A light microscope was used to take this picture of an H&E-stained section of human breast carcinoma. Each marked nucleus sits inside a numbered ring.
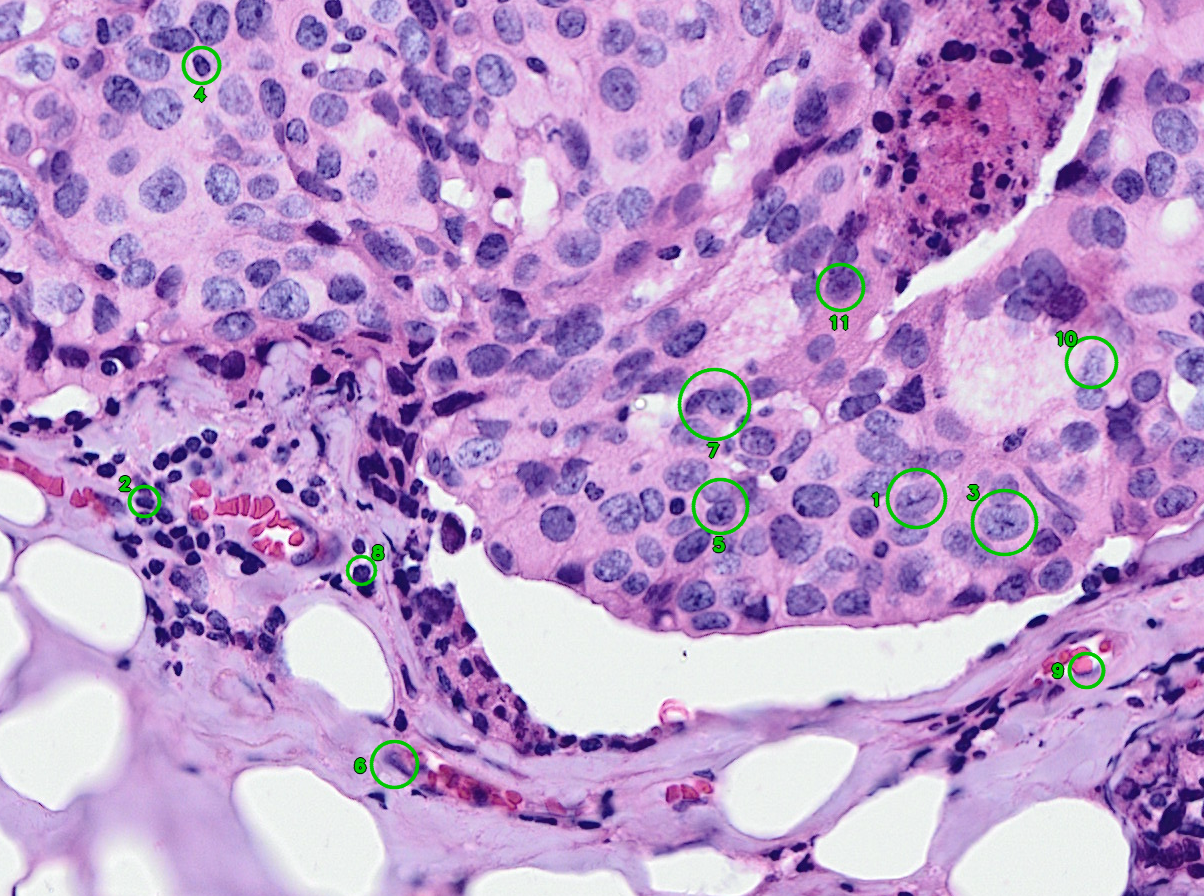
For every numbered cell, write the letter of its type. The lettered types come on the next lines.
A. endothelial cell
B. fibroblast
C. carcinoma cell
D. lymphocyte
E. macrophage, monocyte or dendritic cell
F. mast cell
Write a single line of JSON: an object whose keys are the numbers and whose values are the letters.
{"1": "C", "2": "D", "3": "C", "4": "D", "5": "C", "6": "A", "7": "C", "8": "D", "9": "A", "10": "C", "11": "C"}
